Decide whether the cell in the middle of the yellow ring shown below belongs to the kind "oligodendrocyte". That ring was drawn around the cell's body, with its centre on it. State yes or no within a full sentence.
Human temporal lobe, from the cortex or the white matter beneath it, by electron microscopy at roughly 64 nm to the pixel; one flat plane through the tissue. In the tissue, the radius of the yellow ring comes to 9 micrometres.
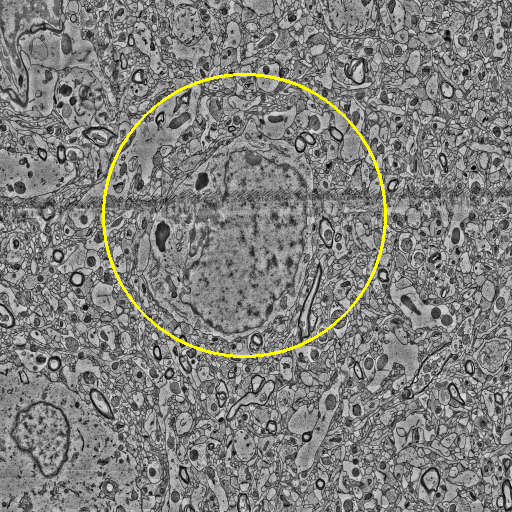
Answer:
No, the cell whose body lies at the ring's centre in the picture belongs to a different kind.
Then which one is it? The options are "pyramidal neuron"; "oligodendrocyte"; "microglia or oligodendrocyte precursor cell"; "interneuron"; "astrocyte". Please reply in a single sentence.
The cell in the ring is an interneuron instead.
